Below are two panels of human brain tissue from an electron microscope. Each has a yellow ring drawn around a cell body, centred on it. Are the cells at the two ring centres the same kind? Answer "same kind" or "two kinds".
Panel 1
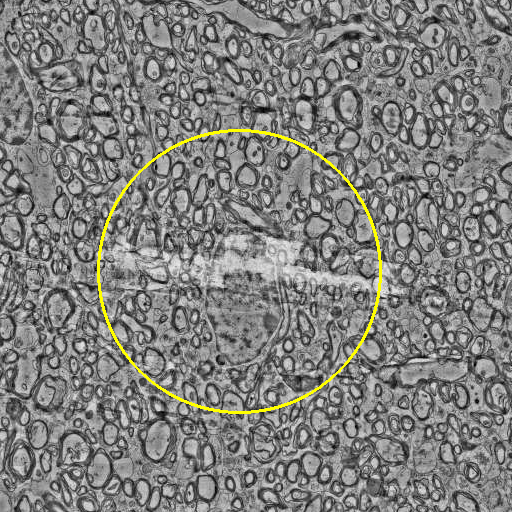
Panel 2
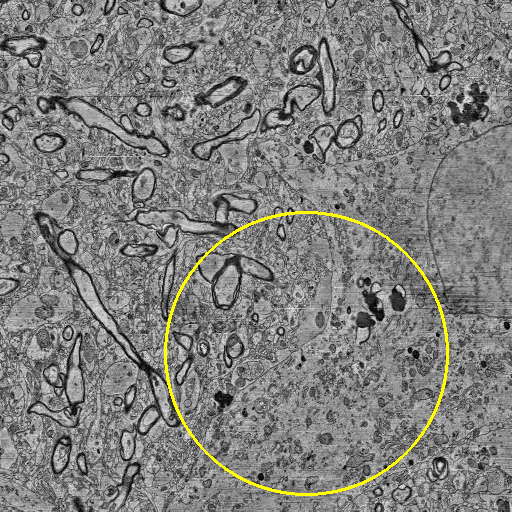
two kinds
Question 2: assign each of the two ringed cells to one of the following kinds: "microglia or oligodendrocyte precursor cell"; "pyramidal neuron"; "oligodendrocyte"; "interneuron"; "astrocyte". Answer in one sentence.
The two cells are a microglial cell or oligodendrocyte precursor cell in the first picture and an oligodendrocyte in the second.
